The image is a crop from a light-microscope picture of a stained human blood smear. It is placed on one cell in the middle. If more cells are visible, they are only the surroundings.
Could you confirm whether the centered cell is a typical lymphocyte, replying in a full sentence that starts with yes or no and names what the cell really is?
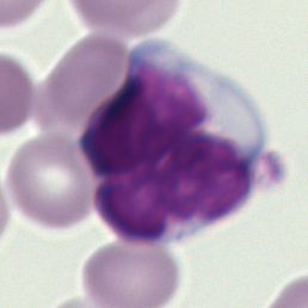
No, the cell of interest here is a large granular lymphocyte and not a typical lymphocyte.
